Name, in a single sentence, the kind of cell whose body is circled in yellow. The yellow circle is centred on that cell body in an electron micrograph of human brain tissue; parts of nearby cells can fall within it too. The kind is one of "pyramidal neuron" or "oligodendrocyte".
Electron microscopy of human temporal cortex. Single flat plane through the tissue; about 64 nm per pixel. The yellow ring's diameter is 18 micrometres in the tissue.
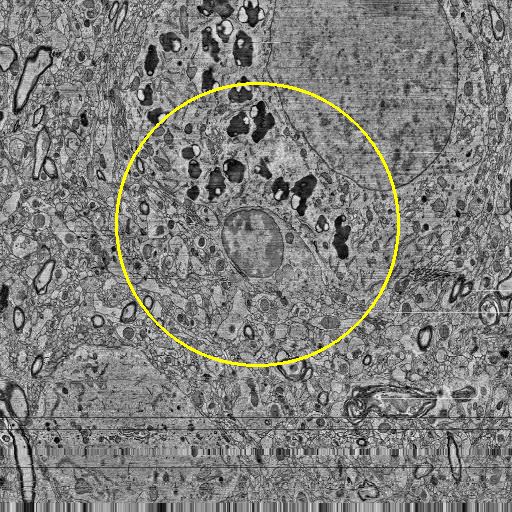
The circled cell body belongs to an oligodendrocyte.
